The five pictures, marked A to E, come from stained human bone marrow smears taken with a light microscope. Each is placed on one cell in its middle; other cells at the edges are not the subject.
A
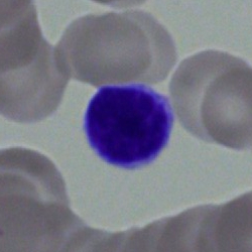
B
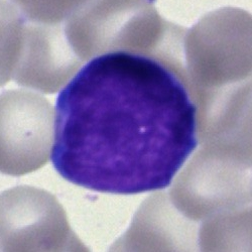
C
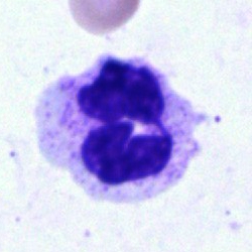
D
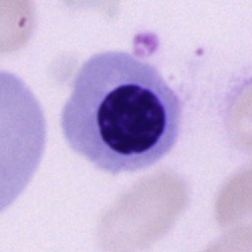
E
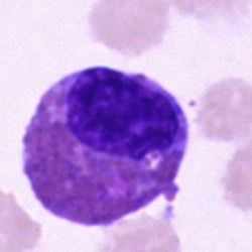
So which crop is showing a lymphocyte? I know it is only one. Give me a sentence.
Crop A, and no other, is the one that shows a lymphocyte.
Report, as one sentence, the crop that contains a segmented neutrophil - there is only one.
Crop C is the crop in which a segmented neutrophil is shown.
